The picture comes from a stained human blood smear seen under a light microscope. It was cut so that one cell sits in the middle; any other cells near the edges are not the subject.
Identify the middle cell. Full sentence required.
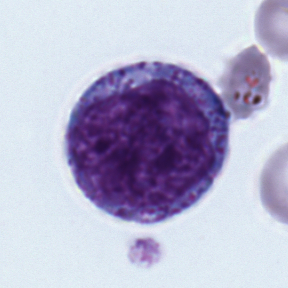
As for the cell in the middle, it is a promyelocyte.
